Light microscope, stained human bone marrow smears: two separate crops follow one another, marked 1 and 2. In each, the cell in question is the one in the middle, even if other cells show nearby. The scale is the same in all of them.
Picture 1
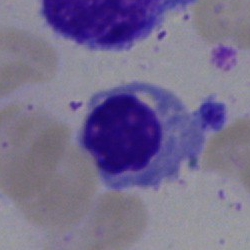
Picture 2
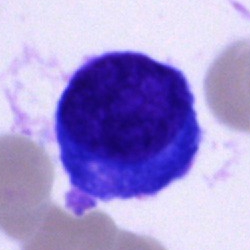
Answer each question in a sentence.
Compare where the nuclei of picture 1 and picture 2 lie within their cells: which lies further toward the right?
The nucleus in picture 2 lies further toward the right of its cell.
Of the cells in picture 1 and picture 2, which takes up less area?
Smaller is the cell in picture 1, and the other is about 2 times as large in area.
